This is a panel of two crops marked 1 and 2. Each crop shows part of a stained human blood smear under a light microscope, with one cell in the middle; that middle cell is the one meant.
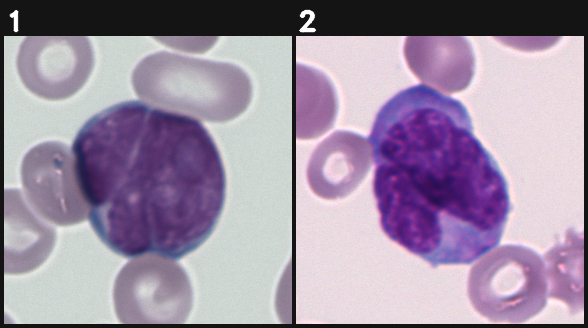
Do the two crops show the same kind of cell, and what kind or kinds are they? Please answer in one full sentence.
No, crop 1 is to be identified as a myeloblast and crop 2 as an atypical promyelocyte.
